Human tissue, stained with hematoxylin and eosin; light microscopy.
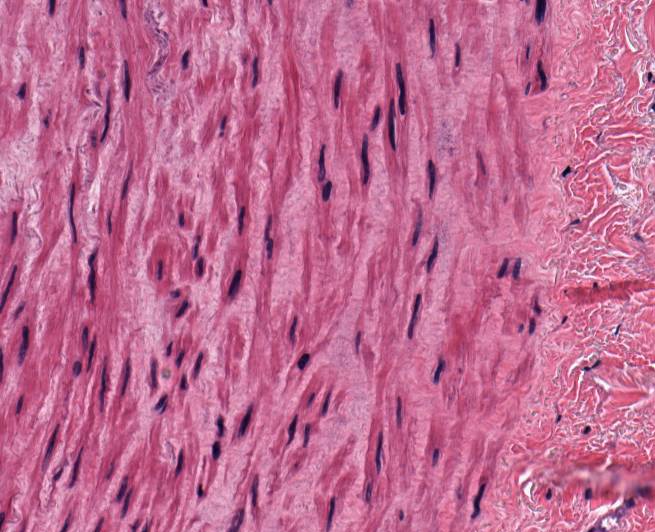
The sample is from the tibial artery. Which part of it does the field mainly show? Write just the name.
tunica media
